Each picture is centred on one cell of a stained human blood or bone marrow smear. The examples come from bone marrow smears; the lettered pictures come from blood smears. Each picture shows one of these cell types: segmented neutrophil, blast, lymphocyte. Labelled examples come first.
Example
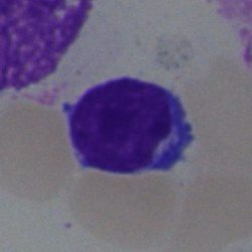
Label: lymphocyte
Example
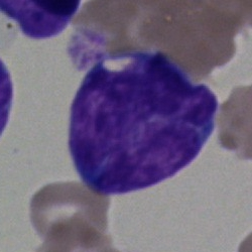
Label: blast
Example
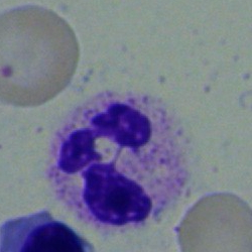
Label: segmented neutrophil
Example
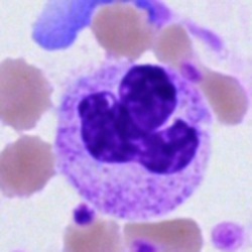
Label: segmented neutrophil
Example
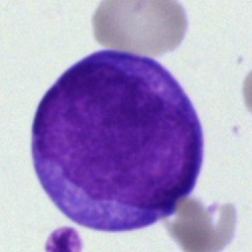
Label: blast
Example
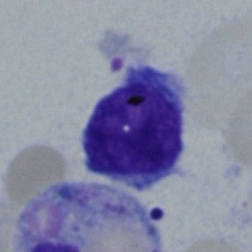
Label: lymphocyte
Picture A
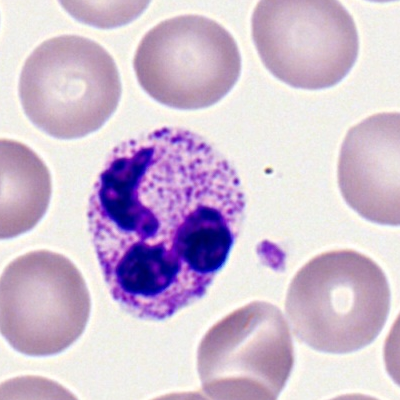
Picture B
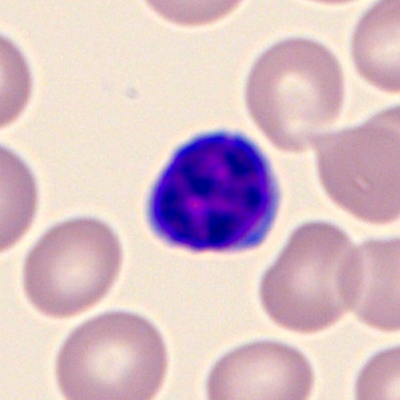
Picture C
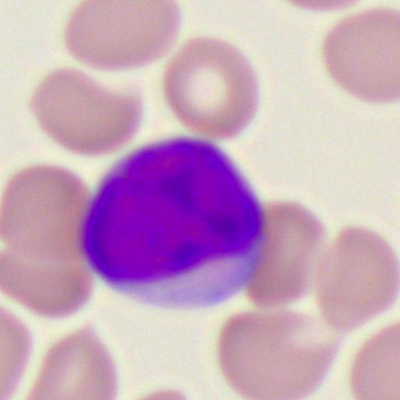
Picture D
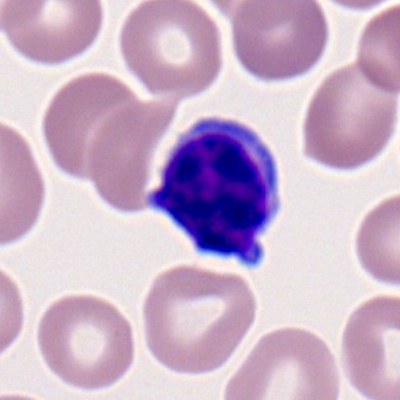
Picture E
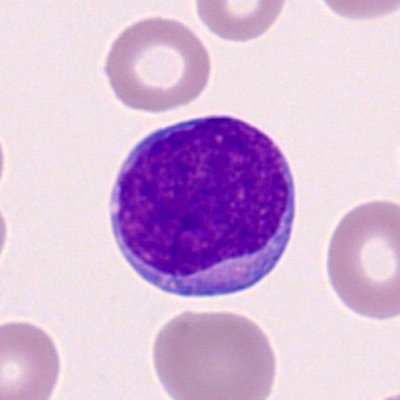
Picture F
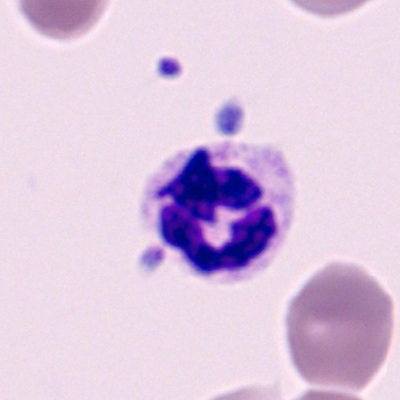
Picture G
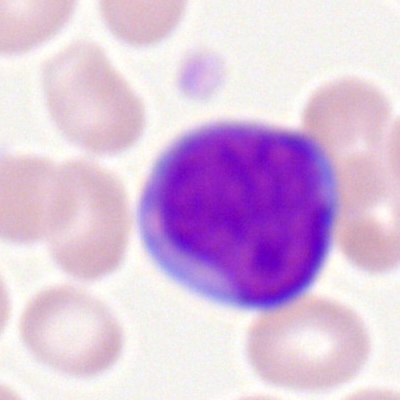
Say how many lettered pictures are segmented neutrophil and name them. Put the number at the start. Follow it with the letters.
Count: 2 (A, F)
